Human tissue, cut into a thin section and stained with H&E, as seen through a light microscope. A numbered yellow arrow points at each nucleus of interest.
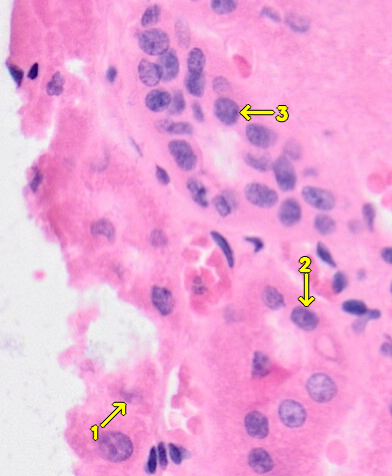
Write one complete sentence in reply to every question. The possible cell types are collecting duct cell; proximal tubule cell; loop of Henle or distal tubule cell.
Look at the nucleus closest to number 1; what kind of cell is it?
It is a proximal tubule cell whose nucleus is nearest to number 1.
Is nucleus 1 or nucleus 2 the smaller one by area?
The smaller nucleus is 1, and 2 covers roughly 1.5 times its area.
